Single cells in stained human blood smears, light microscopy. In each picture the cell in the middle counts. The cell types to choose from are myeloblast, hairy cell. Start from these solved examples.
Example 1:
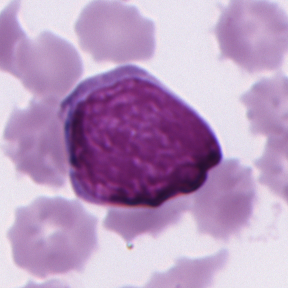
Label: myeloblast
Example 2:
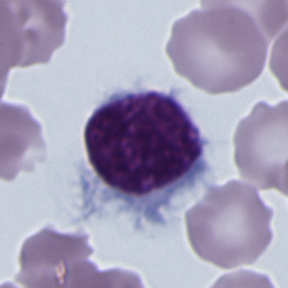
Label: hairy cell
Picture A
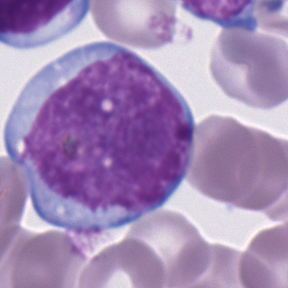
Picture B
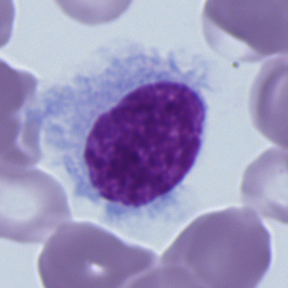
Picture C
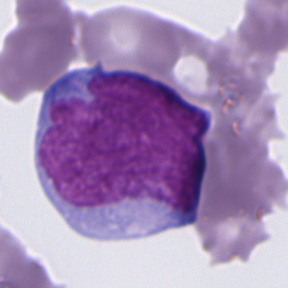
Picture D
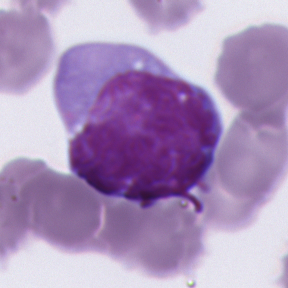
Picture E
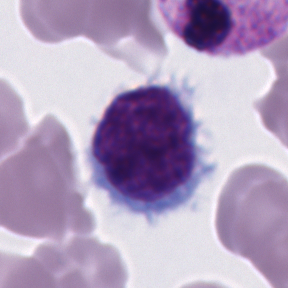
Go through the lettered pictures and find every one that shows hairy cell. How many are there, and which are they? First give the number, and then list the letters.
2, namely B, E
